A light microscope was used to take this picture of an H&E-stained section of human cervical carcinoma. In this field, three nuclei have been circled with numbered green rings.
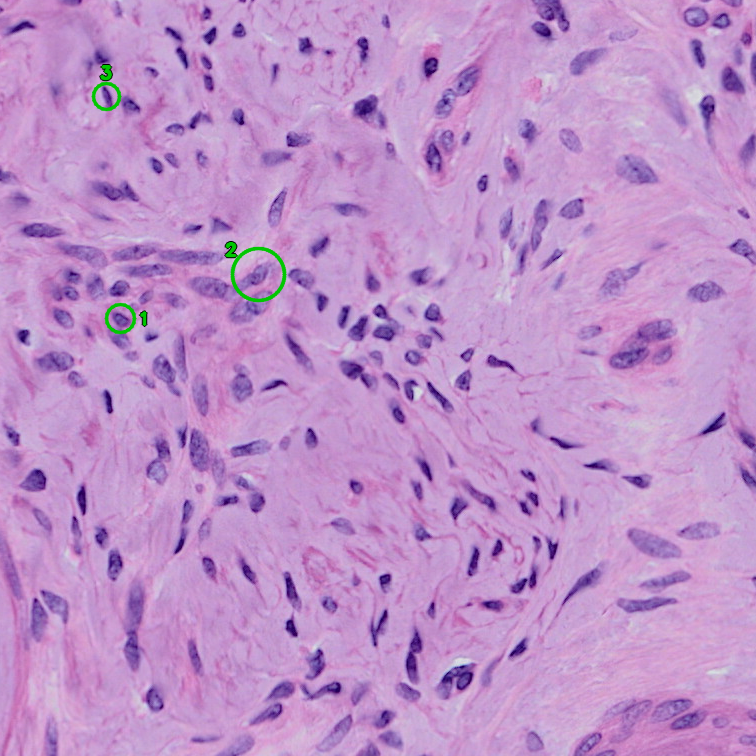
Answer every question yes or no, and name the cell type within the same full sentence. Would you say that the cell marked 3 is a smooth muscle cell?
No, cell 3 is a fibroblast; it is not a smooth muscle cell.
